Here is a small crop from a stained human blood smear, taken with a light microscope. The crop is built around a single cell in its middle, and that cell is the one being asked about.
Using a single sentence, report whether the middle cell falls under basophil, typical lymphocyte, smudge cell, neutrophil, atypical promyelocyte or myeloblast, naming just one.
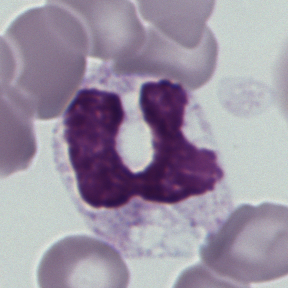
The central cell, amid any neighbouring cells, is a neutrophil.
